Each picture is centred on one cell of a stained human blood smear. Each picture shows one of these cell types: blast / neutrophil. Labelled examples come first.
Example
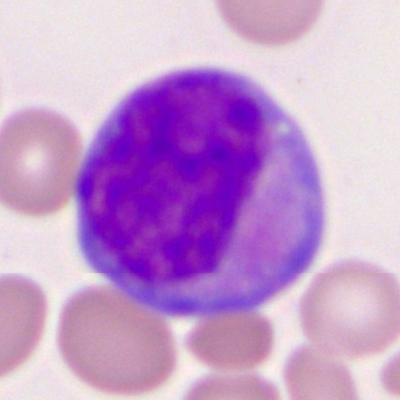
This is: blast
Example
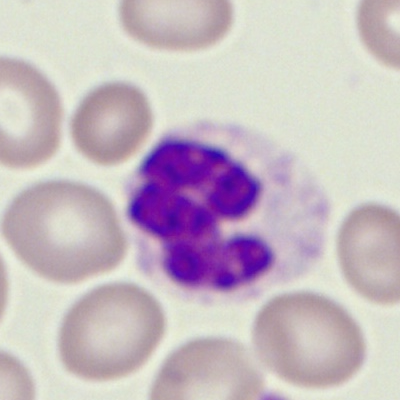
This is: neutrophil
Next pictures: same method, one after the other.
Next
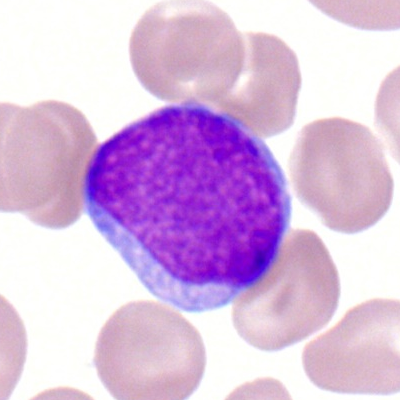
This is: blast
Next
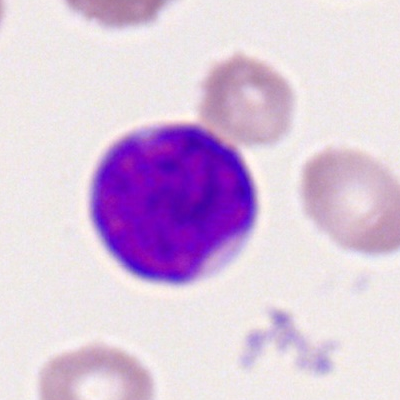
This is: blast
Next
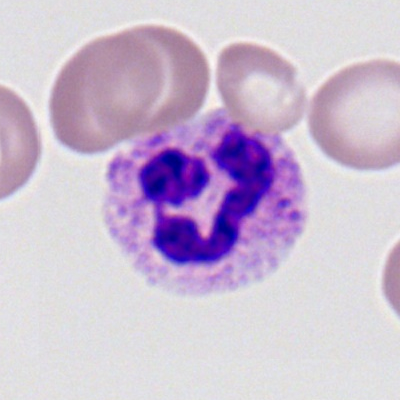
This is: neutrophil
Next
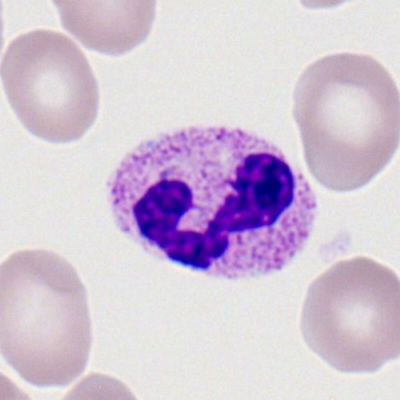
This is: neutrophil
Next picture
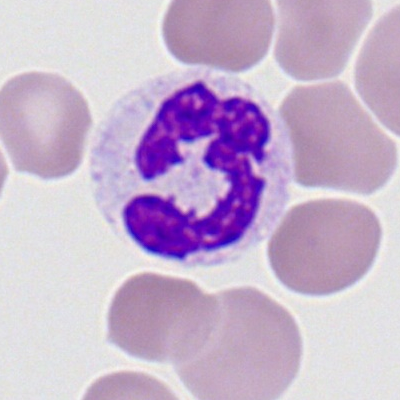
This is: neutrophil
